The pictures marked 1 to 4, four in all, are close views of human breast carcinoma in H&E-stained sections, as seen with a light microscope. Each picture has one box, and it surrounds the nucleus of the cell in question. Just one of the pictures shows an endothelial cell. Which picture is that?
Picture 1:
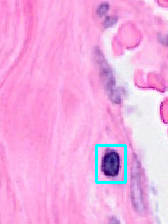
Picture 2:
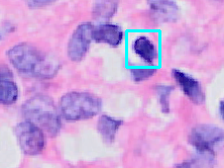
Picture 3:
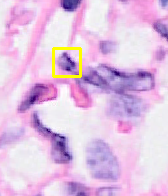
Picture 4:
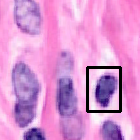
3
